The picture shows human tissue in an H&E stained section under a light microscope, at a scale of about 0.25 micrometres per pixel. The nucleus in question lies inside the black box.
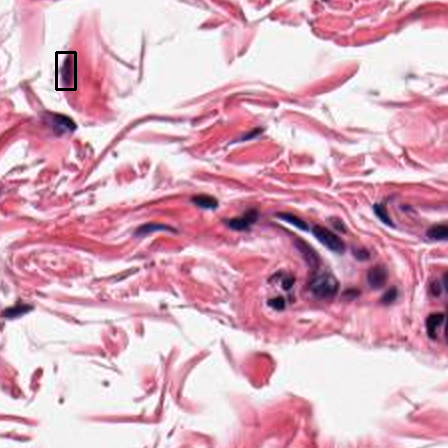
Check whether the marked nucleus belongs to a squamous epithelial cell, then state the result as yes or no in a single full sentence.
No, the cell whose nucleus is marked is a supporting cell and not a squamous epithelial cell.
